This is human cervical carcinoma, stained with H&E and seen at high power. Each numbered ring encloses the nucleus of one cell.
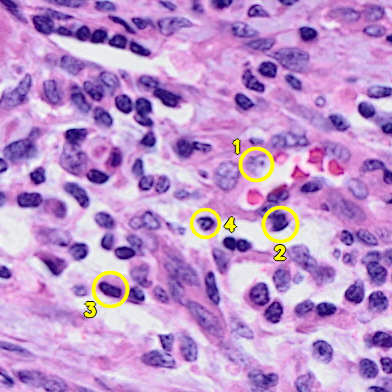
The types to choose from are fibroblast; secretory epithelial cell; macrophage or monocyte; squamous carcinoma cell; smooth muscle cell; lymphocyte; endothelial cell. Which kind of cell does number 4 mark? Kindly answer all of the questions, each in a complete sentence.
The correct label for cell 4 is a lymphocyte.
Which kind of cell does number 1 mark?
Recognised here as an endothelial cell is the cell numbered 1.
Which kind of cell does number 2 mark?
Denoted by the label 2 in the section is a lymphocyte.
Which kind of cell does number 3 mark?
Numbered cell 3 is a lymphocyte in this tissue section.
